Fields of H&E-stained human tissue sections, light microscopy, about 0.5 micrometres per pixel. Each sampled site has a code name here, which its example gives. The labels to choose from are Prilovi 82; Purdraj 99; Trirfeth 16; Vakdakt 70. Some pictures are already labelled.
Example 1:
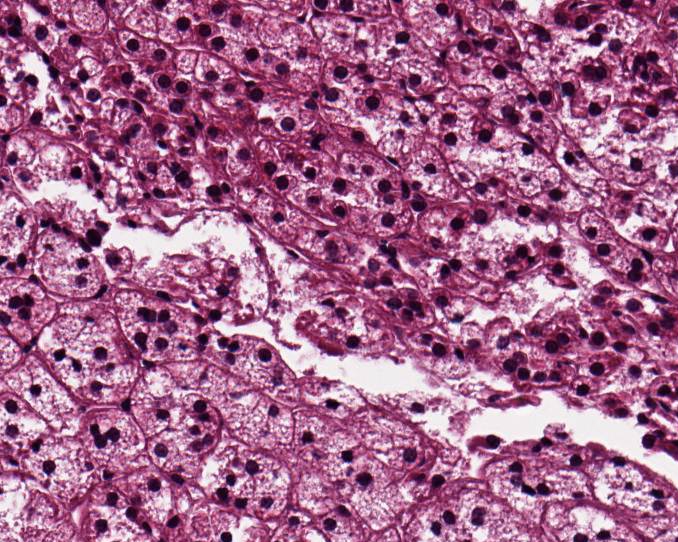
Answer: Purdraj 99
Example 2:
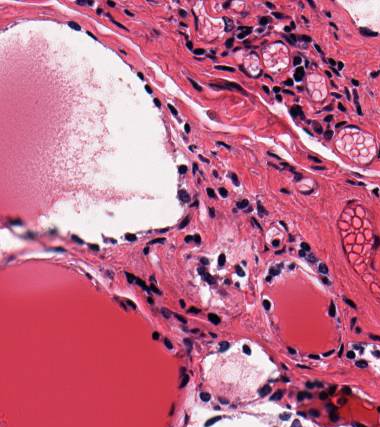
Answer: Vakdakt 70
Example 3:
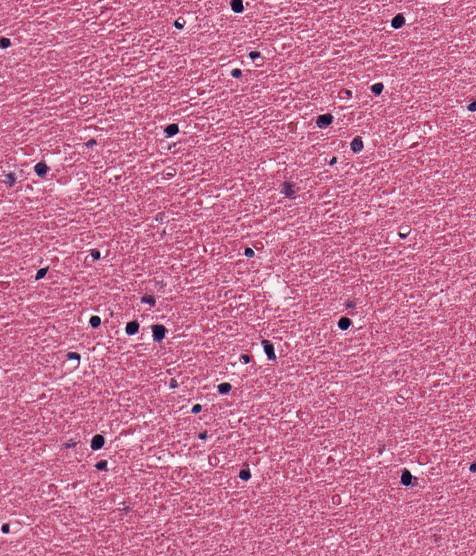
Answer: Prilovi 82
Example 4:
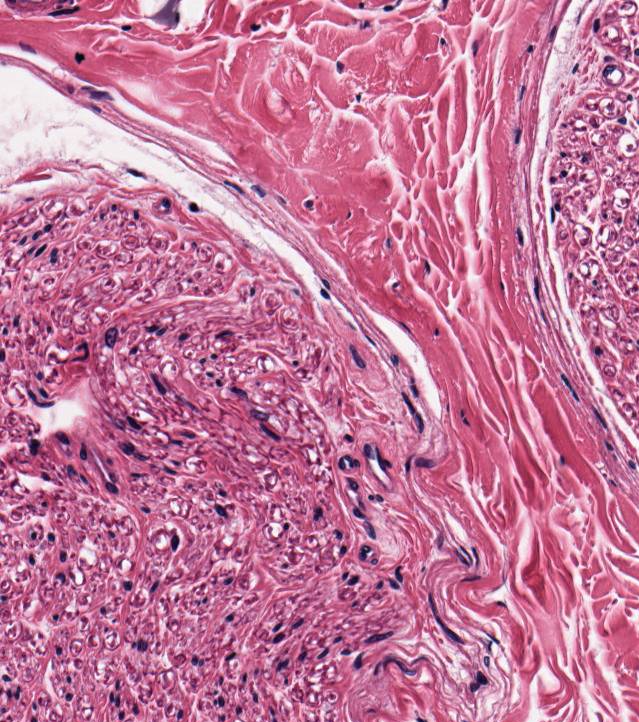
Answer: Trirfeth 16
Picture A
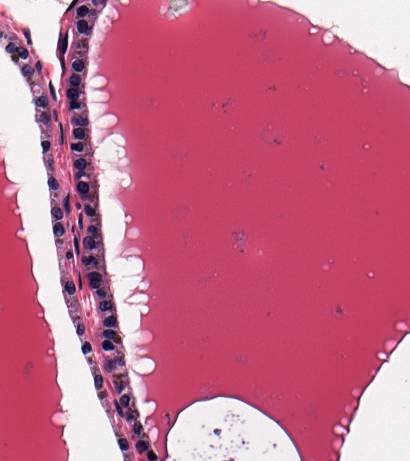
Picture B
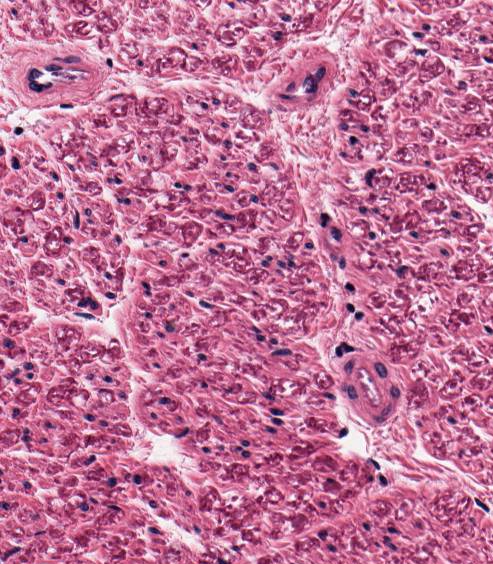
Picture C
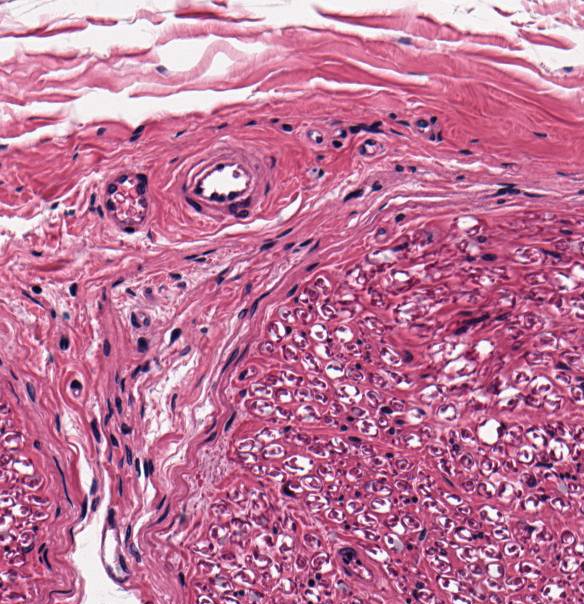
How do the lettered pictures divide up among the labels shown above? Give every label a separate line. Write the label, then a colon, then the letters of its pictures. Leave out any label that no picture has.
Trirfeth 16: B, C
Vakdakt 70: A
